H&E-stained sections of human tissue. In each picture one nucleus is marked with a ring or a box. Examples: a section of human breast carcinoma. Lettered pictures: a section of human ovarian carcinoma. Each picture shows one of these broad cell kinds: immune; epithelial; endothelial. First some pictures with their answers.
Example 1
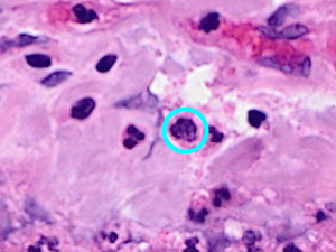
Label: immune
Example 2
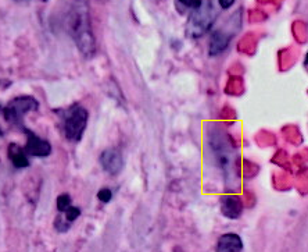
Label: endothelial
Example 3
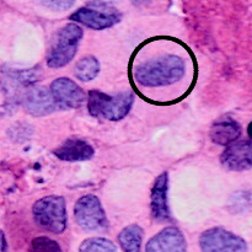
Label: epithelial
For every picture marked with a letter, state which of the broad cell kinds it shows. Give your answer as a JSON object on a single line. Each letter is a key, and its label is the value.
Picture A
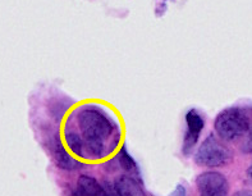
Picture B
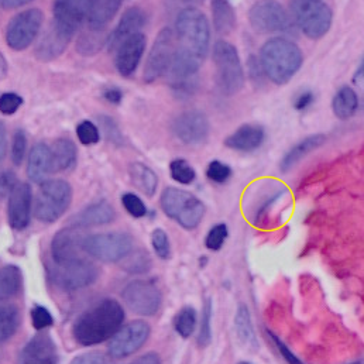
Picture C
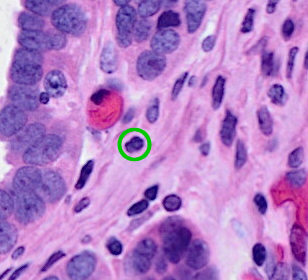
{"A": "epithelial", "B": "endothelial", "C": "immune"}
